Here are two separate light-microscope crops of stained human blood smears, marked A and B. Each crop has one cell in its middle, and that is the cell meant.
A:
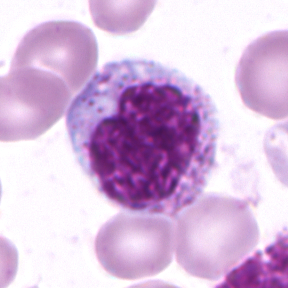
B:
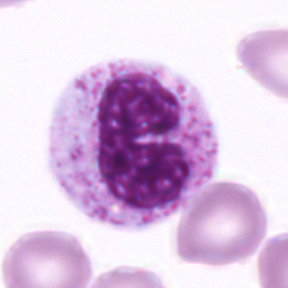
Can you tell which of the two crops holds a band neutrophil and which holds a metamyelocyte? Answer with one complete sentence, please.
Within crop A sits a metamyelocyte, and within crop B sits a band neutrophil.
